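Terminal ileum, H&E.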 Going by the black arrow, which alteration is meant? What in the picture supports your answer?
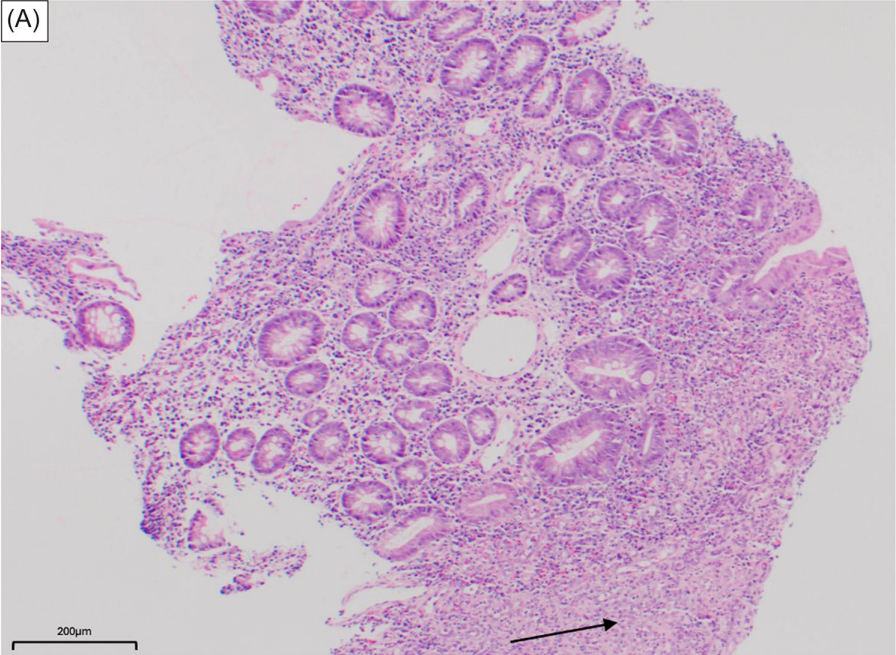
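The arrow points to an area without crypts or surface epithelium. That area is densely cellular with pink stroma and scattered small vessels.
Inflamed granulation tissue.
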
